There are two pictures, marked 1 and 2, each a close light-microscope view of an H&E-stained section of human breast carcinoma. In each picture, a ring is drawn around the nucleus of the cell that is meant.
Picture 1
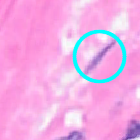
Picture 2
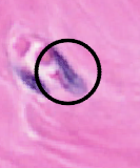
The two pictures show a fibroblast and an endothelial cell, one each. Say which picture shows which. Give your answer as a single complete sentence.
It is picture 1 that shows a fibroblast, and picture 2 that shows an endothelial cell.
